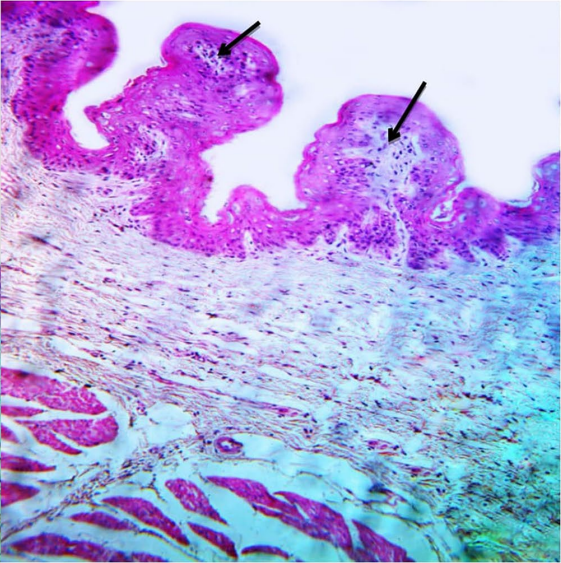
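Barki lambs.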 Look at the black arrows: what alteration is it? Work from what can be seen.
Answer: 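Clusters of small, dark purple nuclei lie within the cores of the papillae. These small round nuclei are crowded among the larger epithelial cells. On this evidence: infiltration of inflammatory cells.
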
